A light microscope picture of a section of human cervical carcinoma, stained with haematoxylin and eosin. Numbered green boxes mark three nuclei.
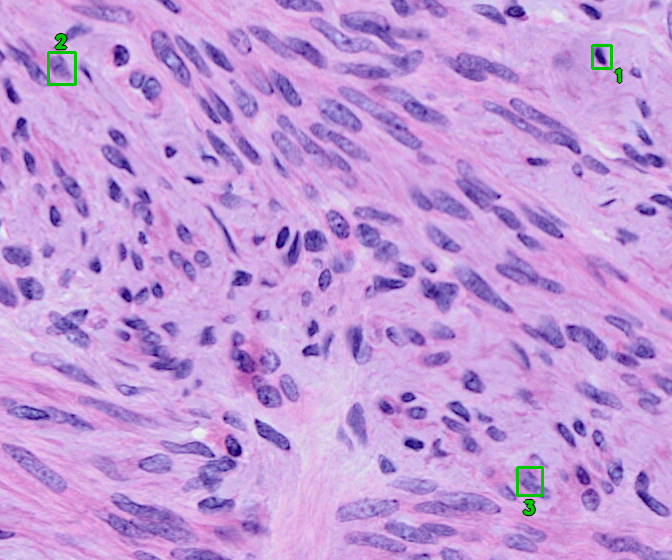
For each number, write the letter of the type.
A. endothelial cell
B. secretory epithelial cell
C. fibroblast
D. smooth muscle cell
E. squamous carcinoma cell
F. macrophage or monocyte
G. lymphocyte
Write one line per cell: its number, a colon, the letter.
1: C
2: D
3: D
